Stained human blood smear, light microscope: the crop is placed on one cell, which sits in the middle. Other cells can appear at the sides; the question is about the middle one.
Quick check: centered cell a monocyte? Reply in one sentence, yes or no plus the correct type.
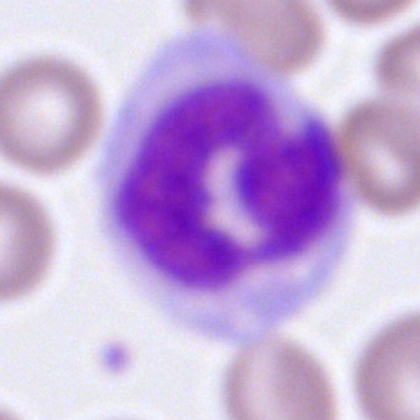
Yes, the cell in the middle is a monocyte.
